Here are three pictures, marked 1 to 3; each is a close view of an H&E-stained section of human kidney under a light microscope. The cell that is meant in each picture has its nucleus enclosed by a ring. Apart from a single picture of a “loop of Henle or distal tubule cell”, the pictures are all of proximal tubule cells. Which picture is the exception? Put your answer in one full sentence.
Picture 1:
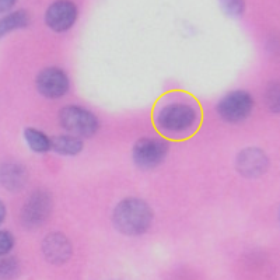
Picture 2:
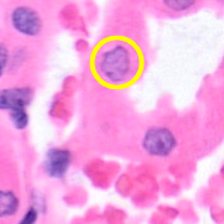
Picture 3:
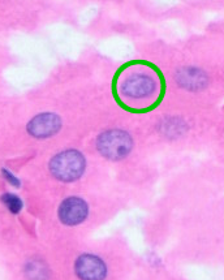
It is picture 1 that shows the “loop of Henle or distal tubule cell”.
